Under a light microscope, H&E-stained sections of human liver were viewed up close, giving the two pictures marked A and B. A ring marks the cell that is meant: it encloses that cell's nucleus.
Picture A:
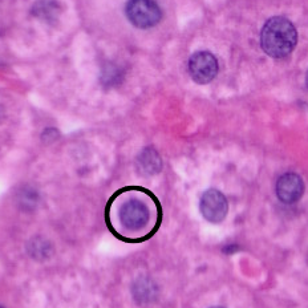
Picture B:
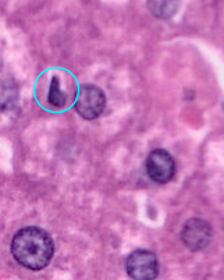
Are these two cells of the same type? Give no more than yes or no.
no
